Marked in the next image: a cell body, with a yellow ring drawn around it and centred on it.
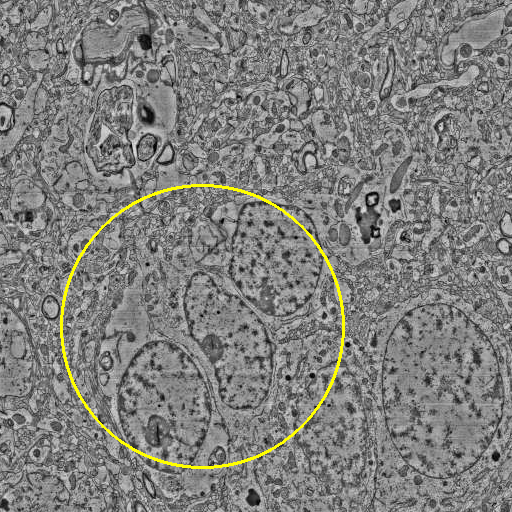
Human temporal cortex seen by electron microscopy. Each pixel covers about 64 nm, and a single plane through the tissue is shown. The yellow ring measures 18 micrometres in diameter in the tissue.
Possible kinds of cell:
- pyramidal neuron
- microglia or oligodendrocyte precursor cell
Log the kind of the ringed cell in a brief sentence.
The ringed cell body is that of a microglial cell or oligodendrocyte precursor cell.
